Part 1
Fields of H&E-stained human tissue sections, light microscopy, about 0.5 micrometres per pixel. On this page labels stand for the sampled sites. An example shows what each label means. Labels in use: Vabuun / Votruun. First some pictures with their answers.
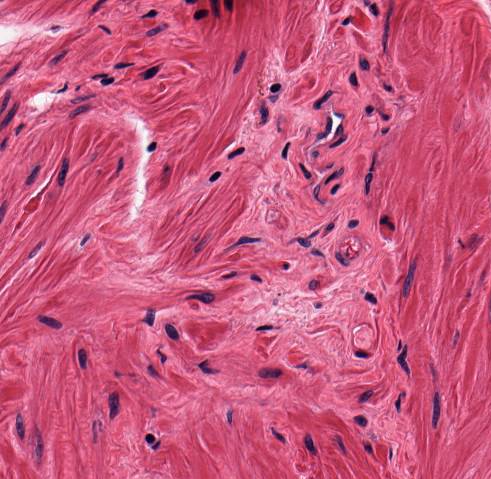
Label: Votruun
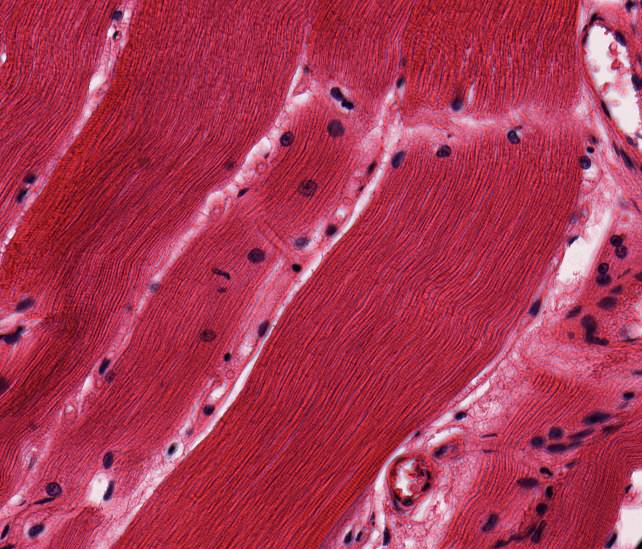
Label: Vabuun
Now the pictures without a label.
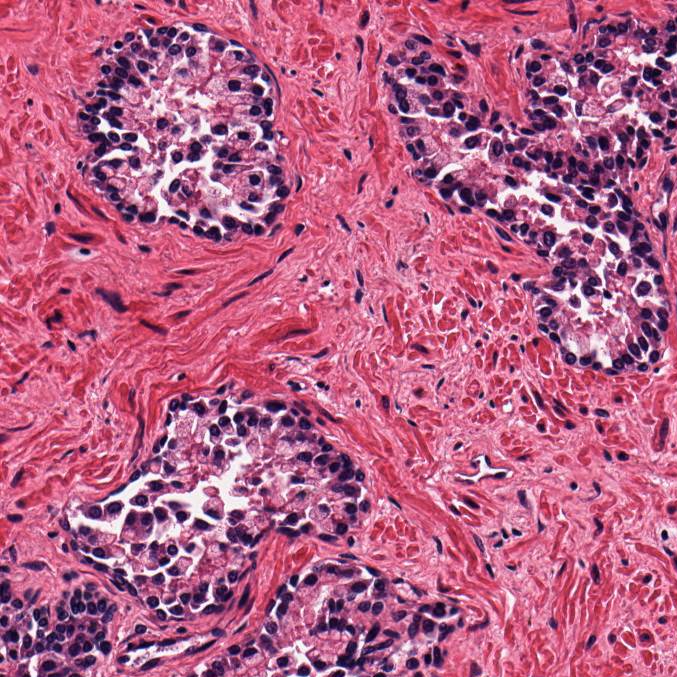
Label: Votruun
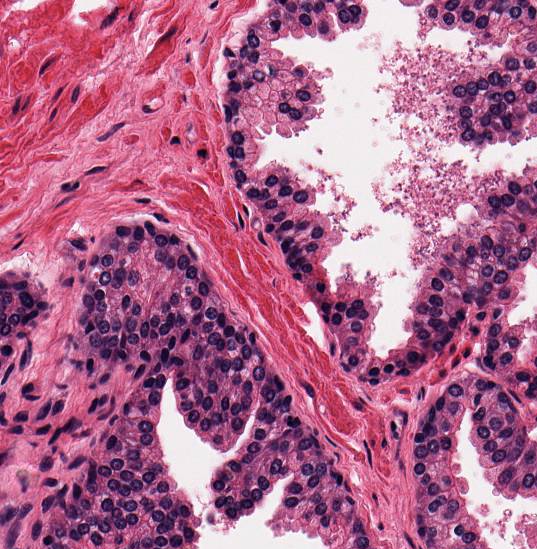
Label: Votruun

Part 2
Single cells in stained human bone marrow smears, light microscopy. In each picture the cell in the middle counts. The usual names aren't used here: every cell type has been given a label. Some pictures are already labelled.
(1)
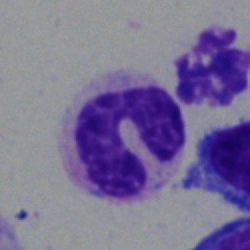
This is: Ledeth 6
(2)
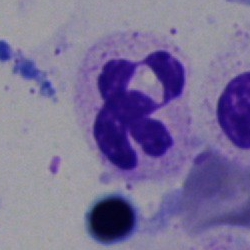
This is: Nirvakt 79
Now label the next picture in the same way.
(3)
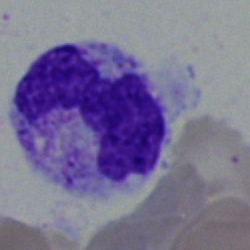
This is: Ledeth 6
